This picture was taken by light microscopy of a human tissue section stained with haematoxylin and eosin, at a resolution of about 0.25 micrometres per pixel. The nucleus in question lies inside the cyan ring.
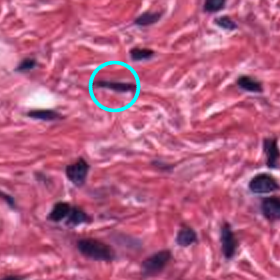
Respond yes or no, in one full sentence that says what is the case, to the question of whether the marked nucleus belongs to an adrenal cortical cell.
No, the cell bearing the marked nucleus is not an adrenal cortical cell but a supporting cell.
